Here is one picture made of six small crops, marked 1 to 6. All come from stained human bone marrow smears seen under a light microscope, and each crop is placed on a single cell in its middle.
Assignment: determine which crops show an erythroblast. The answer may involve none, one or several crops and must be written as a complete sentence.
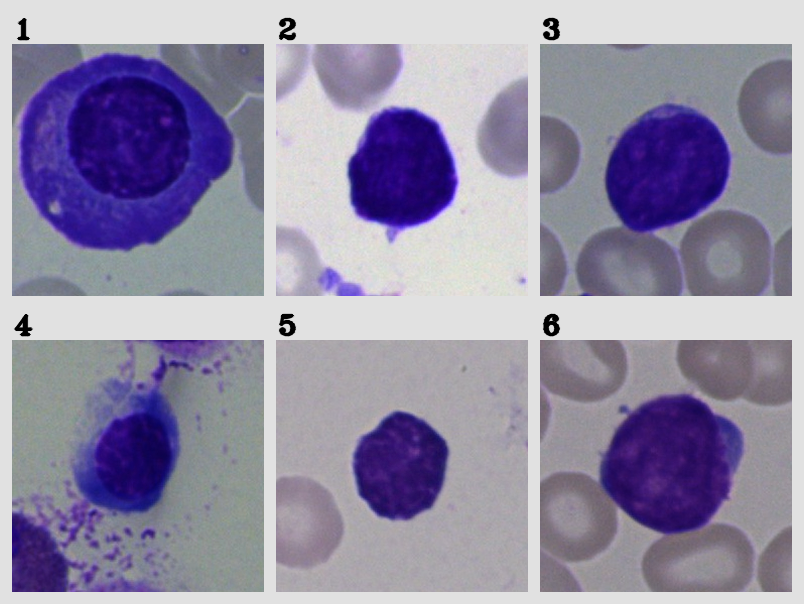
Crop 4 is where an erythroblast is found; no other crop contains one.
